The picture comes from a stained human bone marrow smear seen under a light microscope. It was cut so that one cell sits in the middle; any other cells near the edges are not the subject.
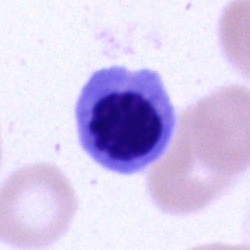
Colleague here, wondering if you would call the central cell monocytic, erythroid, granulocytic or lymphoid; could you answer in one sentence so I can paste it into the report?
The cell at the center of the crop has erythroid lineage.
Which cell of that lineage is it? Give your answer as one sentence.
The cell at the middle of the crop is recognized as an erythroblast.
